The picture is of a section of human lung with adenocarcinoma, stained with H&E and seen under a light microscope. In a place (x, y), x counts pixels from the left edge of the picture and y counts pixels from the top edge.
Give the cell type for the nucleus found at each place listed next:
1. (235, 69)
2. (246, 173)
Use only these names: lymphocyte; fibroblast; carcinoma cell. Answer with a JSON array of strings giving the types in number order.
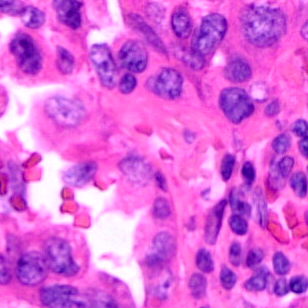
["carcinoma cell", "lymphocyte"]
